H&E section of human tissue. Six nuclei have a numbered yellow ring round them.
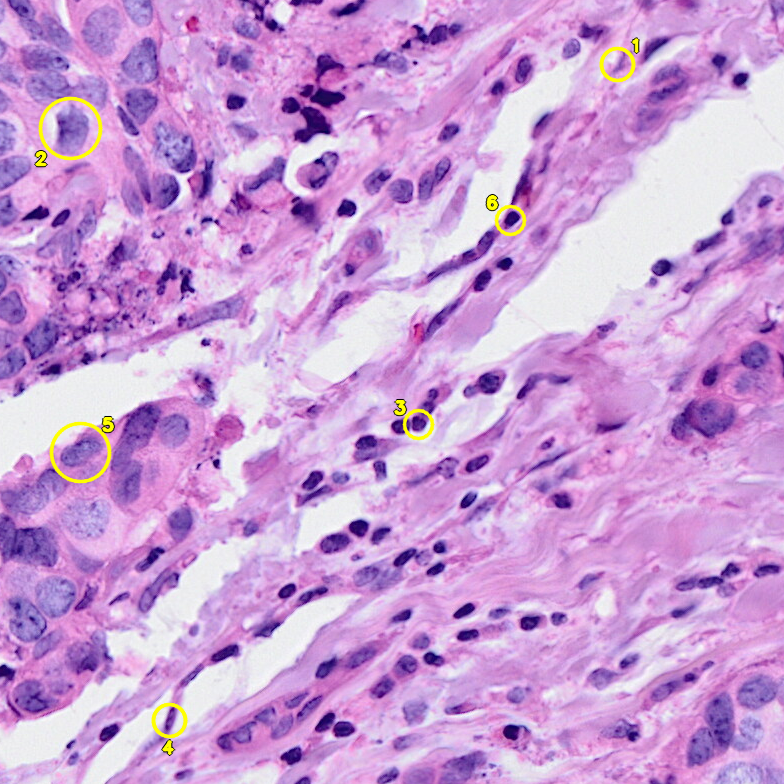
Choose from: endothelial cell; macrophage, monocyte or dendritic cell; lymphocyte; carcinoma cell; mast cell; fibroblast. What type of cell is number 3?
lymphocyte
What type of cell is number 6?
lymphocyte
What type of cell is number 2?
carcinoma cell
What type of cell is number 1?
fibroblast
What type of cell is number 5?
carcinoma cell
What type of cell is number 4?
fibroblast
